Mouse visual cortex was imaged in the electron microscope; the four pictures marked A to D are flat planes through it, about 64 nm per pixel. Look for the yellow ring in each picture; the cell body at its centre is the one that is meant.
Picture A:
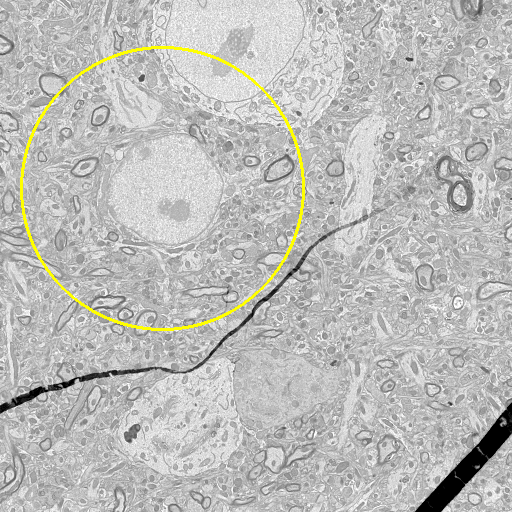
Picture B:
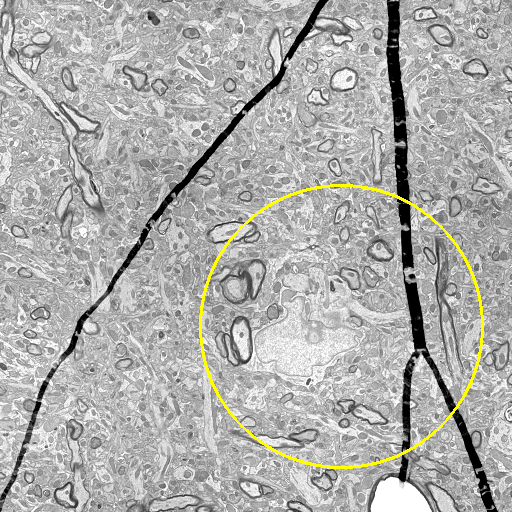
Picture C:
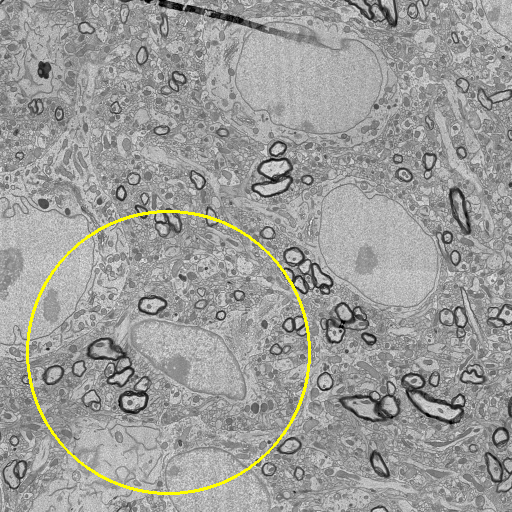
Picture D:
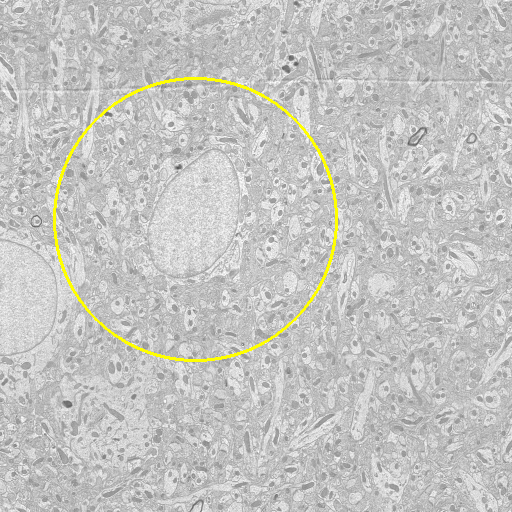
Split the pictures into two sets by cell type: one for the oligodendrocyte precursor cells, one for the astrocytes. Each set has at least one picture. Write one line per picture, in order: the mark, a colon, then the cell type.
A: astrocyte
B: oligodendrocyte precursor cell
C: oligodendrocyte precursor cell
D: astrocyte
